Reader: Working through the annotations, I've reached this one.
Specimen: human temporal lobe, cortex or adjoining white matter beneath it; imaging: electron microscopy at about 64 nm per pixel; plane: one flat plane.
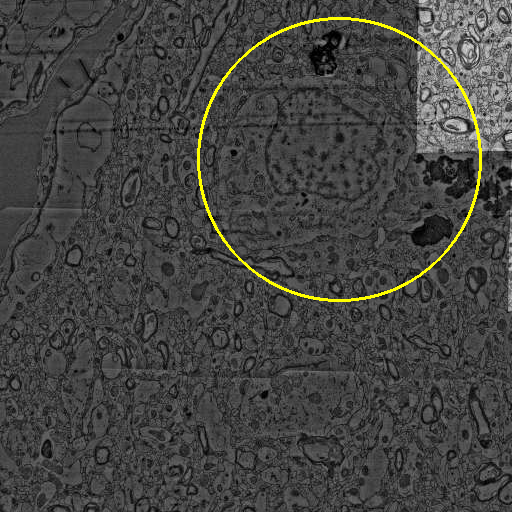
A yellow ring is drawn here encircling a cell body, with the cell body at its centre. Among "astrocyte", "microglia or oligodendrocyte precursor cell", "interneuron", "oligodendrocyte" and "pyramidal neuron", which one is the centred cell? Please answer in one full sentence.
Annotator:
The cell body at the centre of the yellow ring in this image belongs to an interneuron.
